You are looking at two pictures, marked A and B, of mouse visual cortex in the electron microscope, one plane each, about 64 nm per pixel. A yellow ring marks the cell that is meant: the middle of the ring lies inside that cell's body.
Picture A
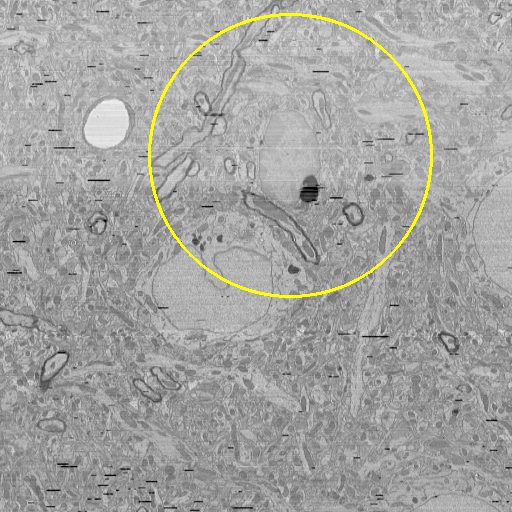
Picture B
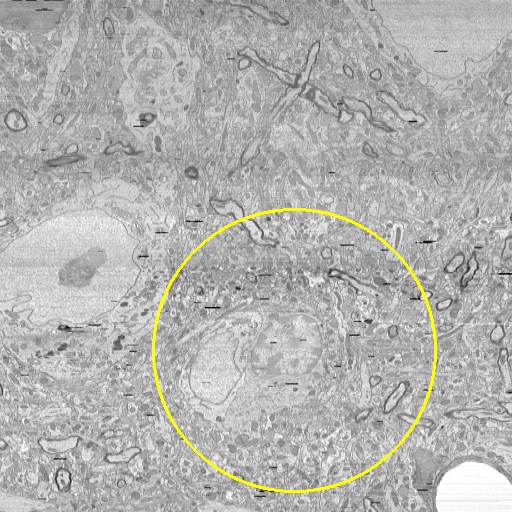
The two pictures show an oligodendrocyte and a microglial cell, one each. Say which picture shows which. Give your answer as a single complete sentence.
It is picture A that shows a microglial cell, and picture B that shows an oligodendrocyte.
